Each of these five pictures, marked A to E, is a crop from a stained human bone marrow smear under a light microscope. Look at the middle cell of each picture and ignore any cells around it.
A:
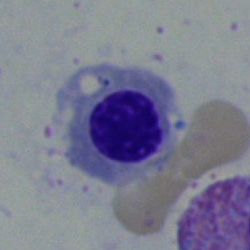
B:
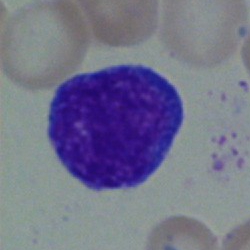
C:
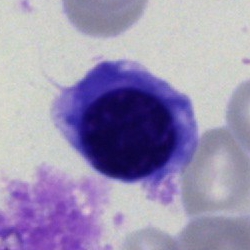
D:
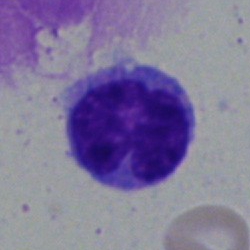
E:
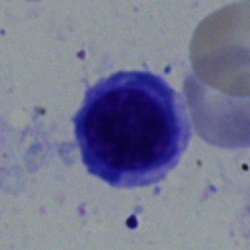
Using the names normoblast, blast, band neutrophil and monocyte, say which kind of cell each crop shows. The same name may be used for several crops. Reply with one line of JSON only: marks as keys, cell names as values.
{"A": "normoblast", "B": "blast", "C": "normoblast", "D": "monocyte", "E": "normoblast"}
